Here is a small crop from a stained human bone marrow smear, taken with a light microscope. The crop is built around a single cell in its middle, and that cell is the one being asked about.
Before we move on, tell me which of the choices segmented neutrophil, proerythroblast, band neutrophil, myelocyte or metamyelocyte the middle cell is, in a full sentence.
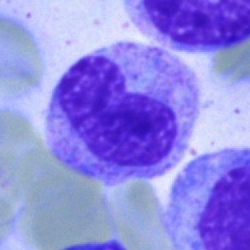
By classification, the middle cell of this crop is a metamyelocyte.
